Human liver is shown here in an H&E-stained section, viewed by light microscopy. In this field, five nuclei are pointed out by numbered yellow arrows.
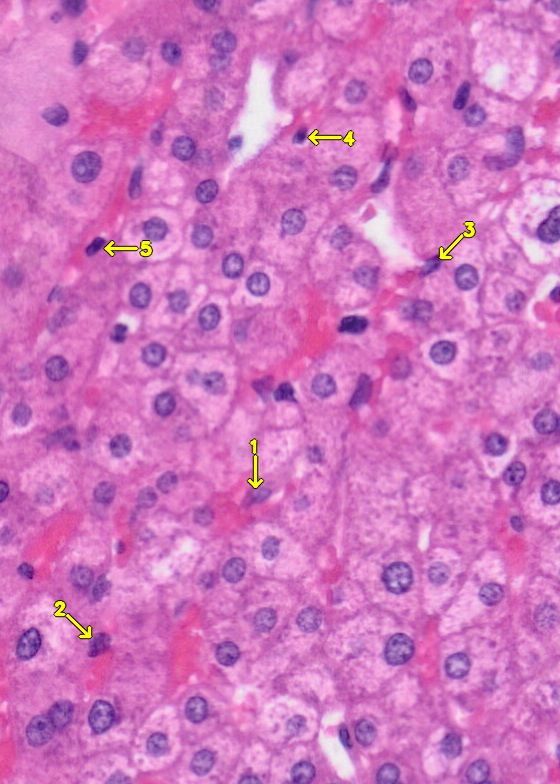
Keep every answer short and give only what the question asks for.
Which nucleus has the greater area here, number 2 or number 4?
2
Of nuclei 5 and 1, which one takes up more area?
1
